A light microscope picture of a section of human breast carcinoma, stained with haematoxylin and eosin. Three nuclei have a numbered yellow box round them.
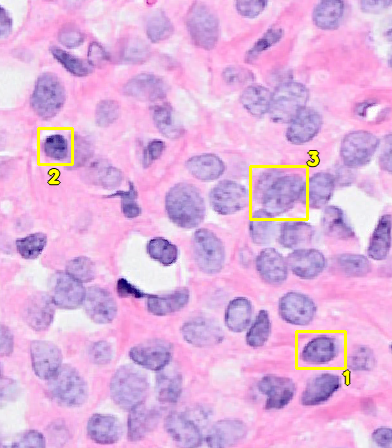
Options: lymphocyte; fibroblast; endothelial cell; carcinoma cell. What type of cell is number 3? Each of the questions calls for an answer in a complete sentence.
Identified by the number 3, the cell is a carcinoma cell.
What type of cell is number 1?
The nucleus marked 1 is the nucleus of a carcinoma cell.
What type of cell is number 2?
Corresponding to a lymphocyte is the cell labelled 2.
